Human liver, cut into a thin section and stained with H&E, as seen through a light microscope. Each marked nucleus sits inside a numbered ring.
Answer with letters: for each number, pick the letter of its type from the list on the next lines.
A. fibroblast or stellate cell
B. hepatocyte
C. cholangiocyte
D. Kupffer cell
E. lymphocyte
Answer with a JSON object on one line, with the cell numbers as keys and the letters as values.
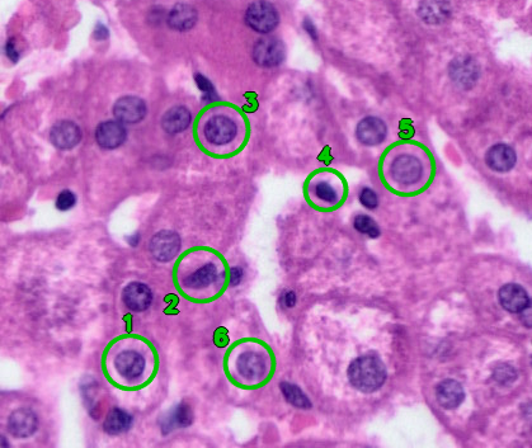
{"1": "B", "2": "A", "3": "B", "4": "E", "5": "B", "6": "B"}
